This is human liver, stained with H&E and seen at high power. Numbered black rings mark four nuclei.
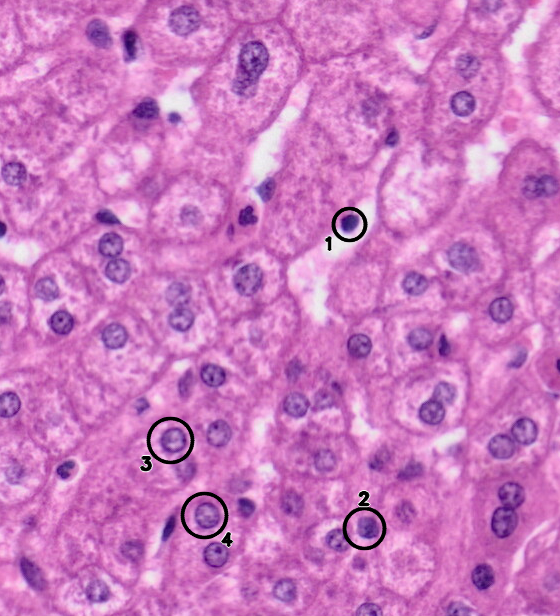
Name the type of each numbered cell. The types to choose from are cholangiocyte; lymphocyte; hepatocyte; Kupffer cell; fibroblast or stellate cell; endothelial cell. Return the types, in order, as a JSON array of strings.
["lymphocyte", "endothelial cell", "hepatocyte", "hepatocyte"]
